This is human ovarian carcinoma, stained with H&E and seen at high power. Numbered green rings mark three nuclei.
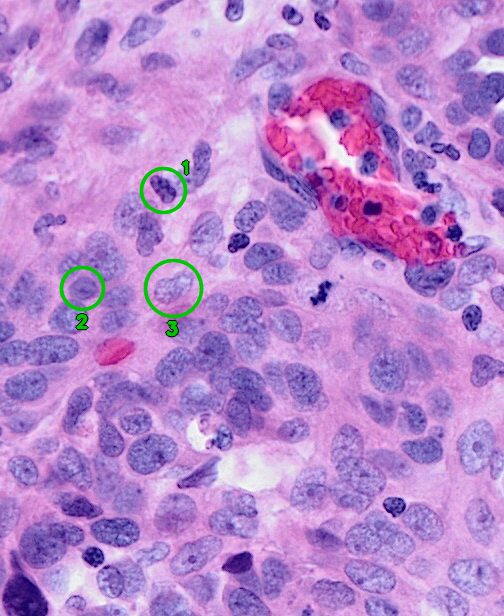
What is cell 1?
lymphocyte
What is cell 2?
carcinoma cell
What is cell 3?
fibroblast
